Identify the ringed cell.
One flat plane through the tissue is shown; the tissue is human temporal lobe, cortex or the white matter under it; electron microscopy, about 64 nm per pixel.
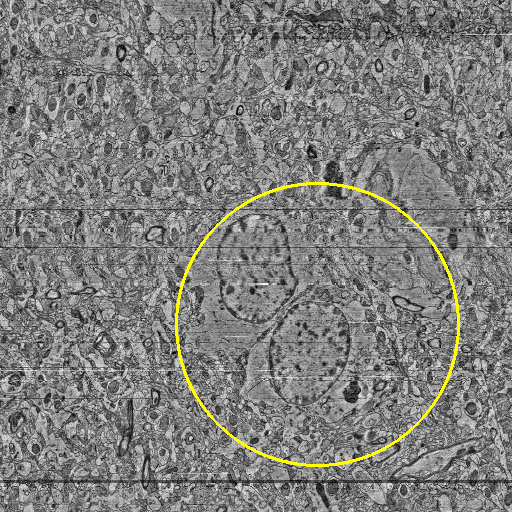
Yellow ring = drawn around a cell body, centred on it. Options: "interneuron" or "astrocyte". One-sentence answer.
What the ring is centred on is an astrocyte.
